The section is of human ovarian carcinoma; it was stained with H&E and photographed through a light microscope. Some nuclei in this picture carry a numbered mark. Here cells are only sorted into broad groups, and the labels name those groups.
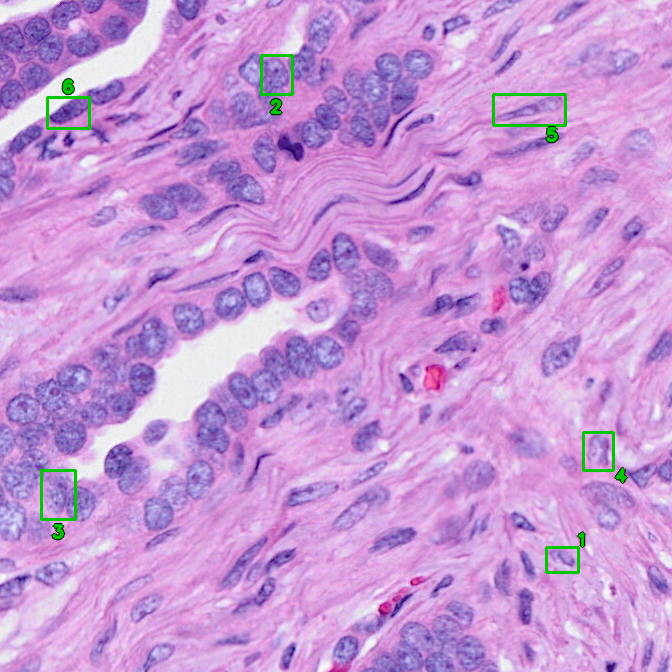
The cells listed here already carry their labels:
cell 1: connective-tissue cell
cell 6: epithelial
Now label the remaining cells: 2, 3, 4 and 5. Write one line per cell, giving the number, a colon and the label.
2: epithelial
3: epithelial
4: connective-tissue cell
5: connective-tissue cell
